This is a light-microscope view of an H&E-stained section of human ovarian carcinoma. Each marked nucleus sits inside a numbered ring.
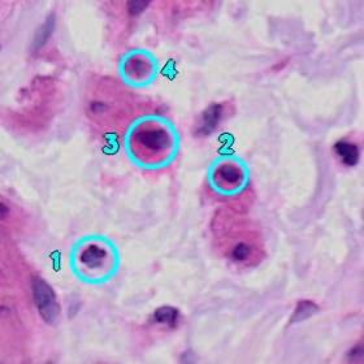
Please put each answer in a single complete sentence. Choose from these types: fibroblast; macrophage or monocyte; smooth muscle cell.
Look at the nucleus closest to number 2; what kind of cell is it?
The nucleus nearest to number 2 is that of a macrophage or monocyte.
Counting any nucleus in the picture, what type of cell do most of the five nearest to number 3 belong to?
Most of the five nuclei nearest to number 3 are those of smooth muscle cells.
